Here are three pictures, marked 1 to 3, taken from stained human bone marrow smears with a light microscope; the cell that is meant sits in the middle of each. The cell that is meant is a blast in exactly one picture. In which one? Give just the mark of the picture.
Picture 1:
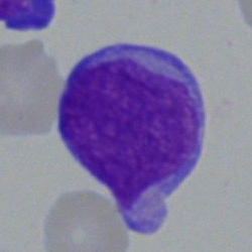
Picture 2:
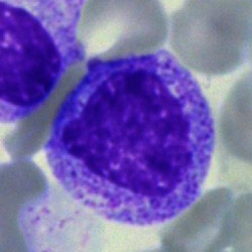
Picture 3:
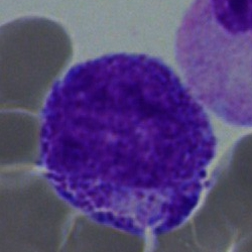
1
